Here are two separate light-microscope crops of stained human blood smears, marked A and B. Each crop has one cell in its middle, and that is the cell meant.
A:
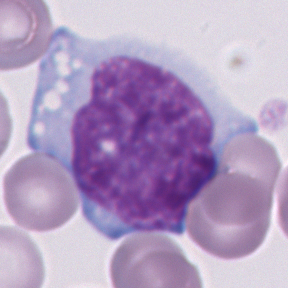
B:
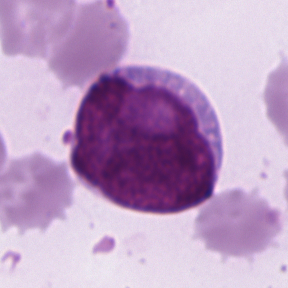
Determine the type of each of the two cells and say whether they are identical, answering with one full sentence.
Yes, the two crops show myeloblasts at their centres.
